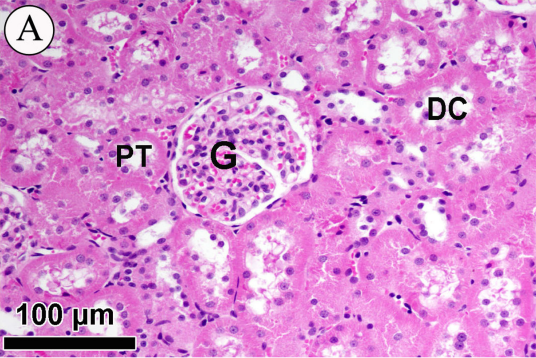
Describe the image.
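This is renal cortex with a round glomerulus, a tuft of capillaries with many purple nuclei and red blood cells, wrapped by the thin Bowman's capsule with a narrow clear space. Around it lie cross-sections of convoluted tubules. The tubules are packed closely with very little tissue between them.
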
